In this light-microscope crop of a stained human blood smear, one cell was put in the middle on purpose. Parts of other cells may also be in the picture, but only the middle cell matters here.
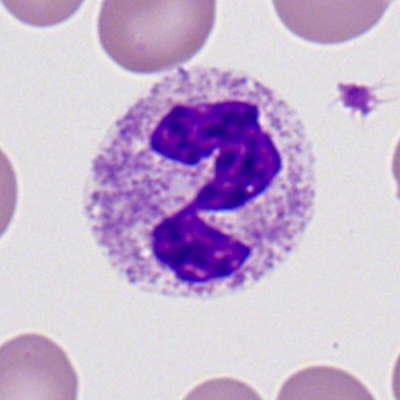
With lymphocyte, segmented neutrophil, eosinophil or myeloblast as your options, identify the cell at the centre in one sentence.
The center cell of this crop is a segmented neutrophil.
